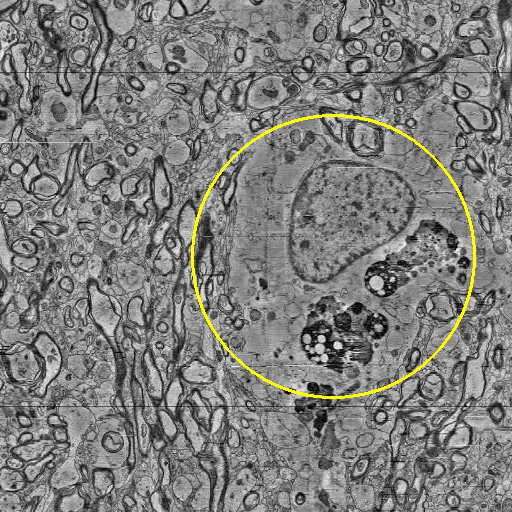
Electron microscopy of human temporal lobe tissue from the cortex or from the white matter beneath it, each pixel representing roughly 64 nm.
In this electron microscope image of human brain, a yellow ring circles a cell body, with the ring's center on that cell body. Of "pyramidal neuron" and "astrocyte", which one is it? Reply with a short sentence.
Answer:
It is an astrocyte at the center of the ring.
